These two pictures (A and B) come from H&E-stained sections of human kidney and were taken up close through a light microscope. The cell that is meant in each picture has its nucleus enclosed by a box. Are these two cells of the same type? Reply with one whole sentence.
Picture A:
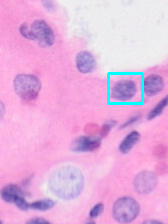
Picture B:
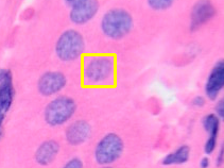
Yes, both are “loop of Henle or distal tubule cells”.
